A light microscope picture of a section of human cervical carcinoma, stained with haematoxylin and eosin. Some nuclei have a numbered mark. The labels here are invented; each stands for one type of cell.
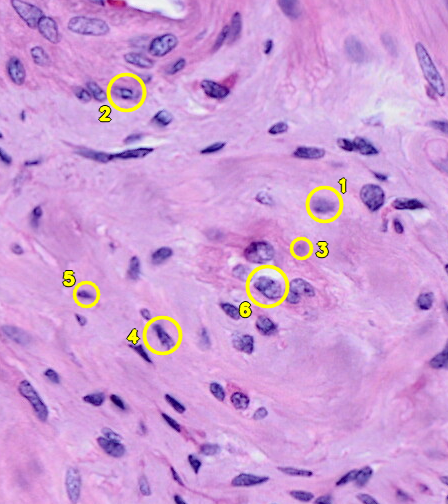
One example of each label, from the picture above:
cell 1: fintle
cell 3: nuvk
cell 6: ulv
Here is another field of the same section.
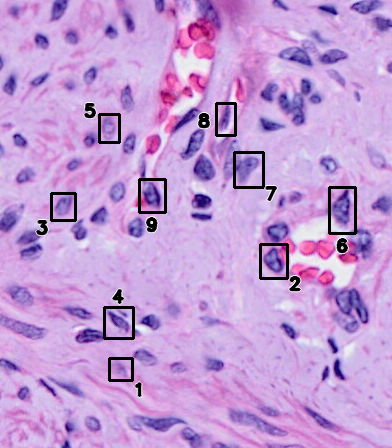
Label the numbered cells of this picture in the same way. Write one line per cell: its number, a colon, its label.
1: nuvk
2: ulv
3: nuvk
4: fintle
5: nuvk
6: ulv
7: fintle
8: ulv
9: ulv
